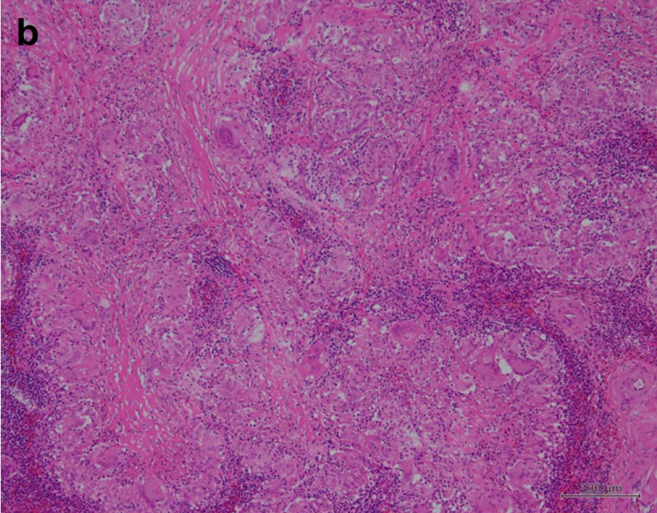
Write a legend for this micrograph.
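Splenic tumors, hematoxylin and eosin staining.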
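Spleen replaced by non-caseating granulomas, rounded nodules of pale pink epithelioid cells with abundant cytoplasm. Dense dark-purple rims of small lymphocytes surround the nodules, and pink fibrous bands run between them. The nodule centres are made of cells, without necrotic debris.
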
